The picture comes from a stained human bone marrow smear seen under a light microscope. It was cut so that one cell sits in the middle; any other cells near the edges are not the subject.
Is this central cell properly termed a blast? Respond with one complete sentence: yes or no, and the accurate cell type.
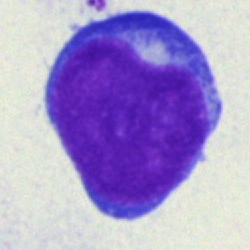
Yes, the crop's central cell is a blast.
